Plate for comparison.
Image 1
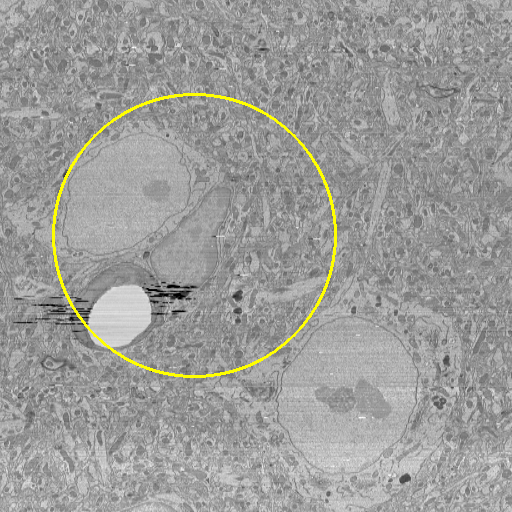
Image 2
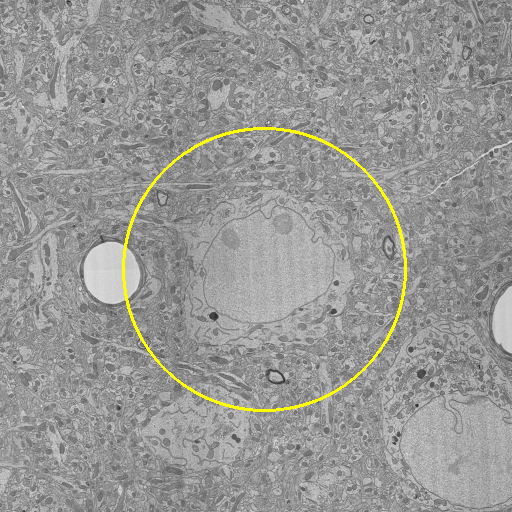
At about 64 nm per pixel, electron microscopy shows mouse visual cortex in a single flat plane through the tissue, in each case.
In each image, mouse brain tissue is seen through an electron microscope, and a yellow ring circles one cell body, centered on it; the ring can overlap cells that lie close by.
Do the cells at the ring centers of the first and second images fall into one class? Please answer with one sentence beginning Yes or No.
No, the first and second images show two classes of cell at the ring centers.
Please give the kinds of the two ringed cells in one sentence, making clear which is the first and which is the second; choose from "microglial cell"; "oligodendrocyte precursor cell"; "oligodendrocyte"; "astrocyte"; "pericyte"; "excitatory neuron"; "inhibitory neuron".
In the second picture the ringed cell is an excitatory neuron; in the first it is a microglial cell.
